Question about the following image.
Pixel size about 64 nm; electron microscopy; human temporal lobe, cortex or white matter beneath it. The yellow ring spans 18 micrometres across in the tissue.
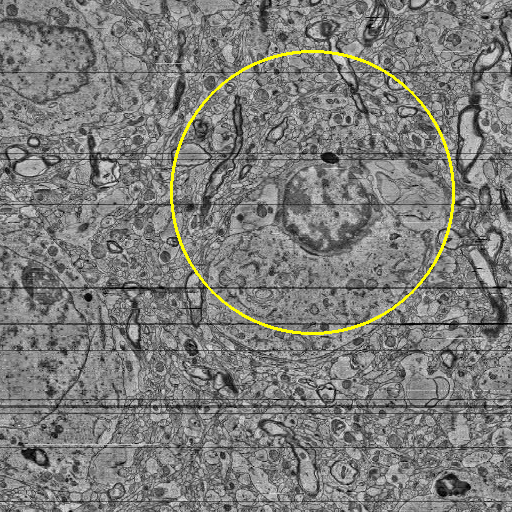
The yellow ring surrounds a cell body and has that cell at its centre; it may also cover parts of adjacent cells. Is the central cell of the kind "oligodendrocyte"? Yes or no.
Yes, it is of that kind.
